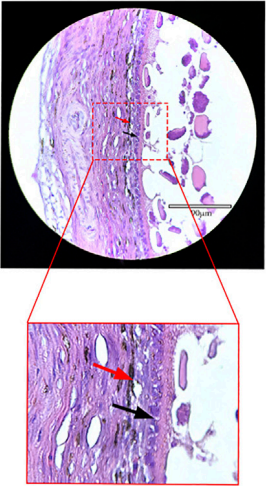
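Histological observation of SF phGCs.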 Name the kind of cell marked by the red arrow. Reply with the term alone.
Melanocytes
